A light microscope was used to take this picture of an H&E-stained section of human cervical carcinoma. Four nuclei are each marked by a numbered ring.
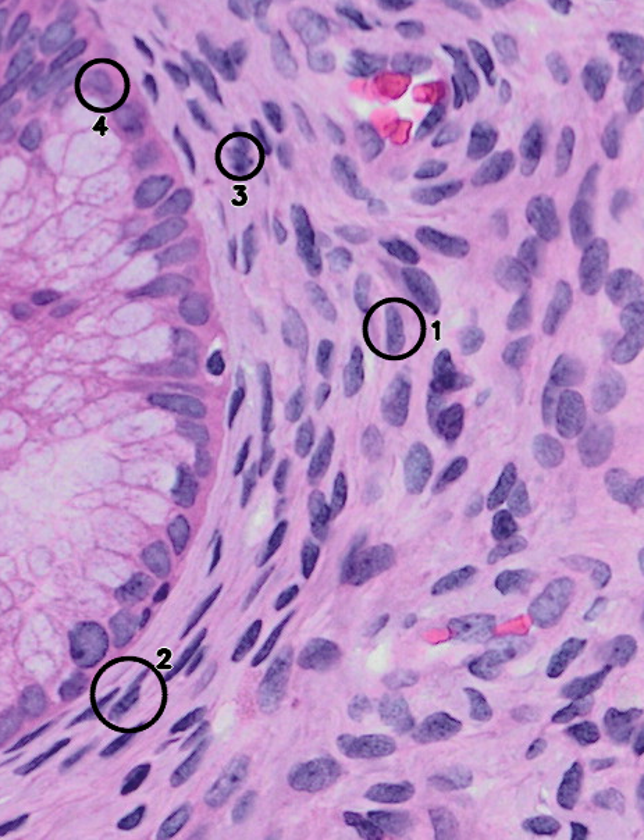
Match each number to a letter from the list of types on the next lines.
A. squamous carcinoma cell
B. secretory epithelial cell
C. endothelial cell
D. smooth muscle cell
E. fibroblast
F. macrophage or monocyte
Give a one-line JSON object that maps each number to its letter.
{"1": "E", "2": "E", "3": "E", "4": "B"}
